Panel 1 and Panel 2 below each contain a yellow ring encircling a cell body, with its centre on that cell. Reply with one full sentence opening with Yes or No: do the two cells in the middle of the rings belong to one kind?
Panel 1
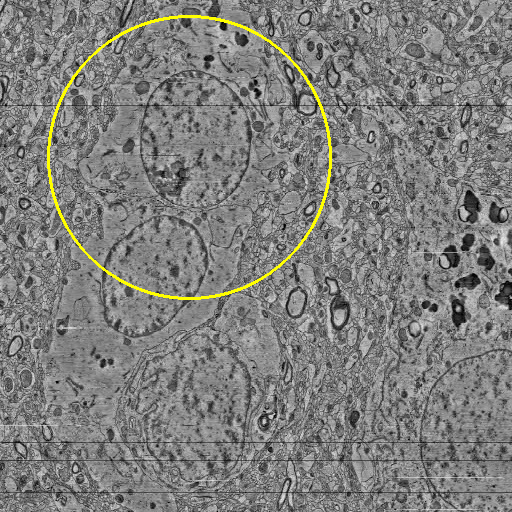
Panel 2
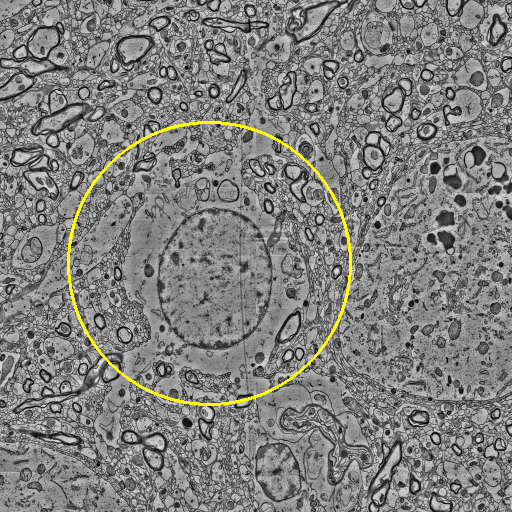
Yes, the cells at the middle of the Panel 1 ring and the Panel 2 ring are of one kind.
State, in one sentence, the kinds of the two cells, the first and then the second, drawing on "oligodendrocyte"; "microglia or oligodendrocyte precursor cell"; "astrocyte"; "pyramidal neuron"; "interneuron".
Both cells are the same kind, each one being an astrocyte.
